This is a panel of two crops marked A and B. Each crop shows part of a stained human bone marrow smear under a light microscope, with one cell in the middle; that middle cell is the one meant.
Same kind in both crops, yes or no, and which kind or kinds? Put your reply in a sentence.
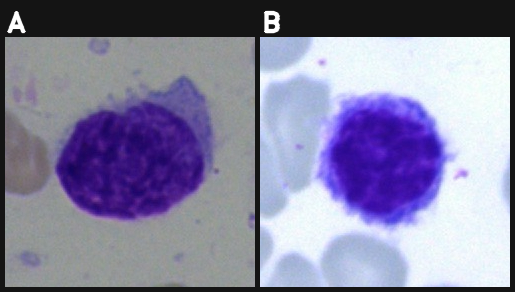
Yes, both crops show hairy cells in their central position.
